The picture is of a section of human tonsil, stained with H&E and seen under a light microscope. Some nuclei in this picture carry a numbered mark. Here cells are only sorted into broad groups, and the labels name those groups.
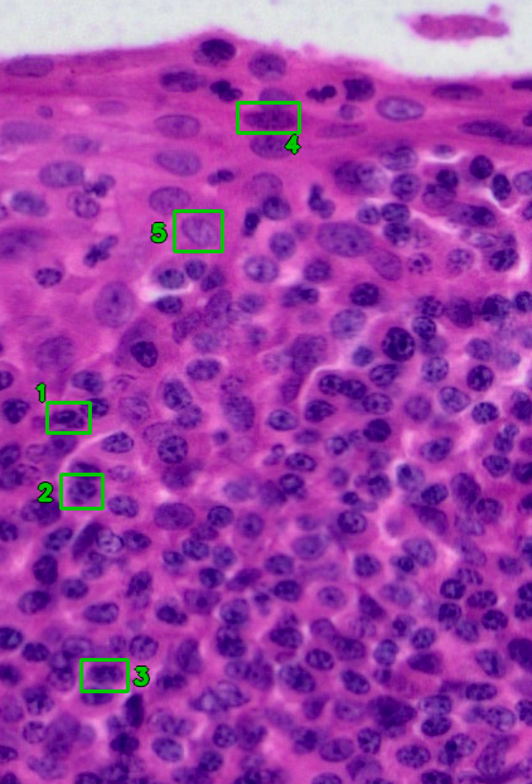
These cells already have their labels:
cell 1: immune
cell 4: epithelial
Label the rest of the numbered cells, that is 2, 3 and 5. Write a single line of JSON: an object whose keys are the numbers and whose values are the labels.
{"2": "immune", "3": "immune", "5": "epithelial"}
